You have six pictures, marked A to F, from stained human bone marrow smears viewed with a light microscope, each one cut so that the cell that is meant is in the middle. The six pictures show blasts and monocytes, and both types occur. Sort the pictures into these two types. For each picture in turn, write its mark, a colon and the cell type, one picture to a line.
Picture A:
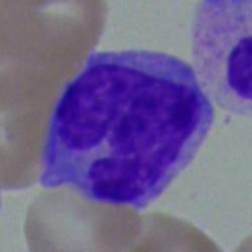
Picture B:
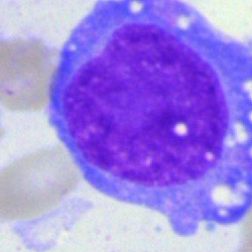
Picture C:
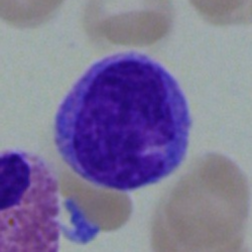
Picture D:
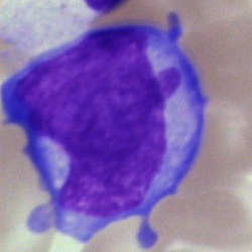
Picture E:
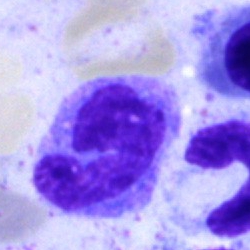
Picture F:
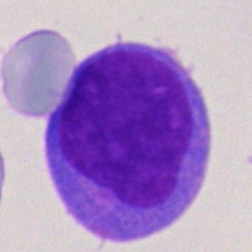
A: monocyte
B: blast
C: monocyte
D: blast
E: monocyte
F: blast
